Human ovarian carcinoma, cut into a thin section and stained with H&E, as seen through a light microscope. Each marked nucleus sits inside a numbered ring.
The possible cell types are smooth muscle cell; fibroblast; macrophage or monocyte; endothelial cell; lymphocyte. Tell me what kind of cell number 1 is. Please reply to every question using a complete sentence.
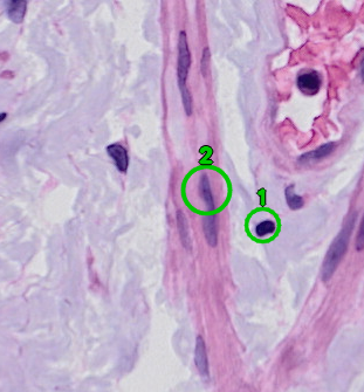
The nucleus labeled 1 belongs to a lymphocyte.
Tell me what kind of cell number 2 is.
The cell numbered 2 represents a smooth muscle cell.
